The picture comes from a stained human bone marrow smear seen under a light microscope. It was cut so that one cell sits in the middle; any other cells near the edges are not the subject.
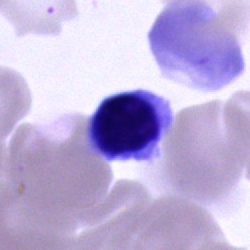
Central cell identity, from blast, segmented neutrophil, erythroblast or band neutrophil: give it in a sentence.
The cell in the middle of this crop is an erythroblast.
